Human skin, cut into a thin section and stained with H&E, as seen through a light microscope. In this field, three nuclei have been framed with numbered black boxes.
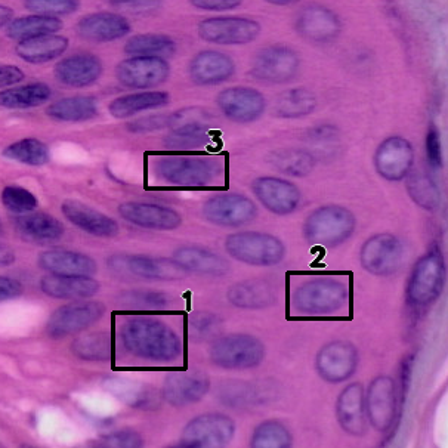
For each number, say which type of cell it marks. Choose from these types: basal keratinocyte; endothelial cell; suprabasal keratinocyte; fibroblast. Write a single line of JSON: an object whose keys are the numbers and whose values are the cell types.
{"1": "basal keratinocyte", "2": "suprabasal keratinocyte", "3": "basal keratinocyte"}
